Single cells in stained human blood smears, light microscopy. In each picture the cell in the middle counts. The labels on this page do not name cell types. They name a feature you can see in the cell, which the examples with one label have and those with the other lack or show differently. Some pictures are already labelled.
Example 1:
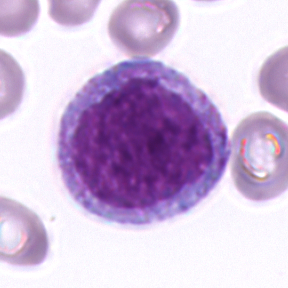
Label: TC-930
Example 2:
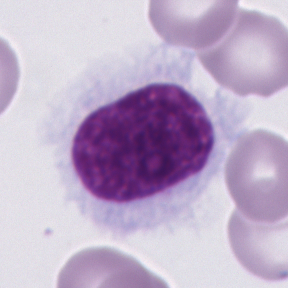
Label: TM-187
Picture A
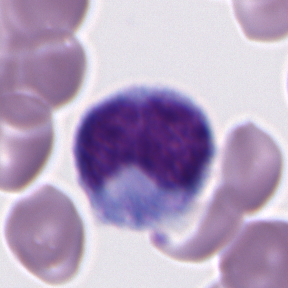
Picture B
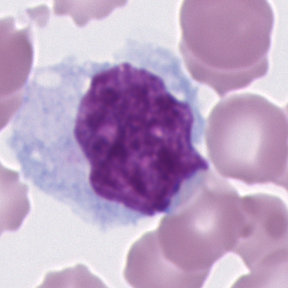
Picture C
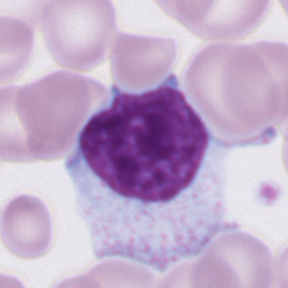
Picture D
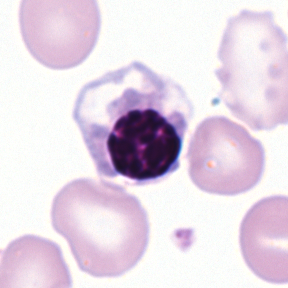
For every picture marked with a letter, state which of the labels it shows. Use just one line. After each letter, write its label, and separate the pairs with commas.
A TC-930, B TM-187, C TM-187, D TM-187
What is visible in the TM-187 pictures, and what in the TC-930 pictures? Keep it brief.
TM-187: abundant cytoplasm; TC-930: scant cytoplasm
